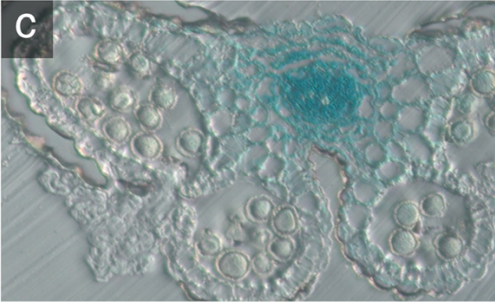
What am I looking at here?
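This cross section of an anther shows four pollen sacs arranged around a central connective with its vascular bundle. The vascular bundle is a compact cluster of small cells stained intense blue, and the blue fades into the surrounding connective cells. Each pollen sac is bounded by a wall of several cell layers and contains loose, round pollen grains. The pollen grains are colourless, with clear outlines and granular contents. The walls of the pollen sacs and the outer layers of the section are largely unstained.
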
